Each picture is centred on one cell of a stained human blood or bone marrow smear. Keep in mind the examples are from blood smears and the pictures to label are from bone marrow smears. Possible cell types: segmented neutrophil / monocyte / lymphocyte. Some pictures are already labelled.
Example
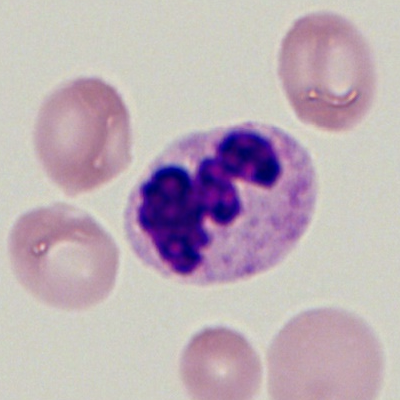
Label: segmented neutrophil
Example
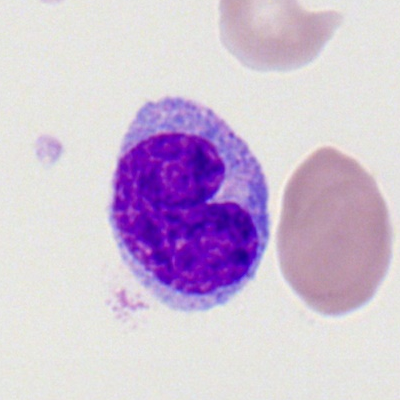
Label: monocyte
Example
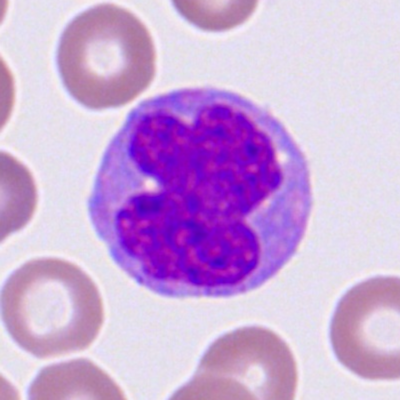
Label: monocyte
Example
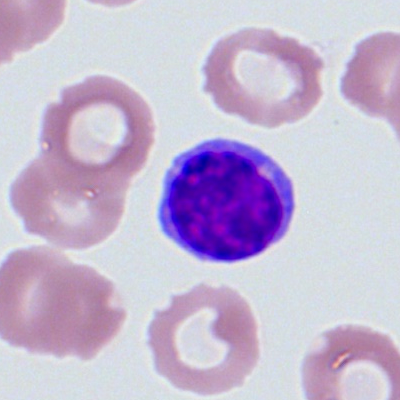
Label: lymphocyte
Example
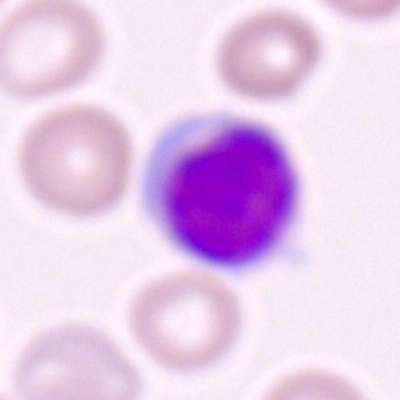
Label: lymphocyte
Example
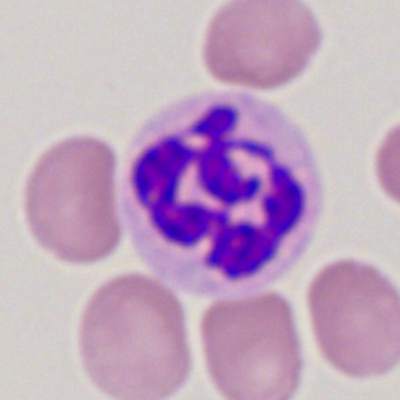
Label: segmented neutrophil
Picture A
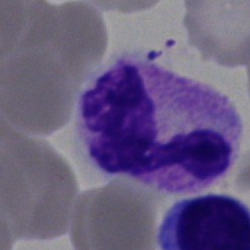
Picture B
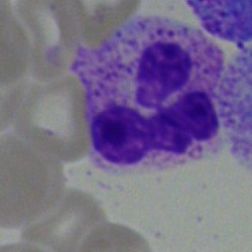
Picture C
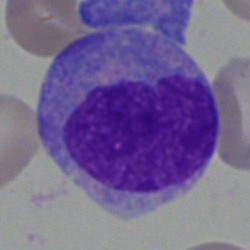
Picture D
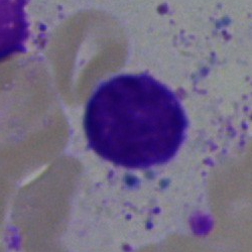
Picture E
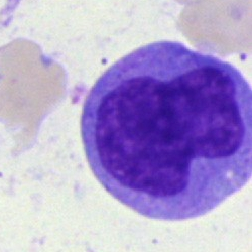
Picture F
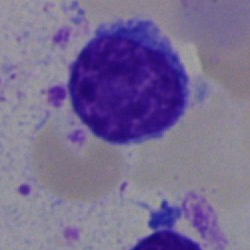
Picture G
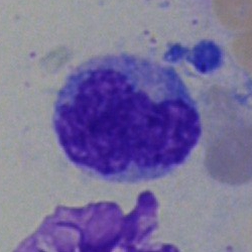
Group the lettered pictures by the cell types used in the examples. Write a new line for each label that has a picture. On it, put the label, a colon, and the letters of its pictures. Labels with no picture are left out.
segmented neutrophil: A, B
monocyte: C, E, G
lymphocyte: D, F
